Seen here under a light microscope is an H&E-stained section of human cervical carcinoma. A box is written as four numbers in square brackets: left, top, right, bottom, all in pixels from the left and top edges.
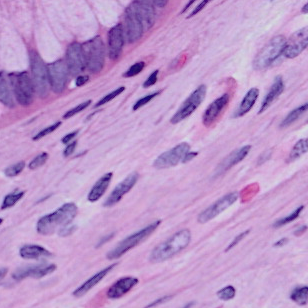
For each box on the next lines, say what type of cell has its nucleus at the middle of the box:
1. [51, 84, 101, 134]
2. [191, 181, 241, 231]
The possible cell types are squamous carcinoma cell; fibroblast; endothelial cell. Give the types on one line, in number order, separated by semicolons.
fibroblast; endothelial cell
